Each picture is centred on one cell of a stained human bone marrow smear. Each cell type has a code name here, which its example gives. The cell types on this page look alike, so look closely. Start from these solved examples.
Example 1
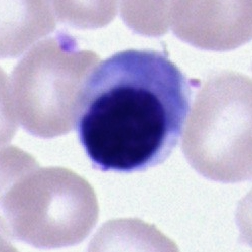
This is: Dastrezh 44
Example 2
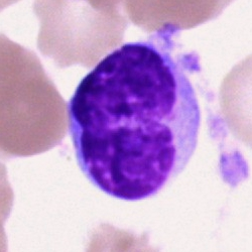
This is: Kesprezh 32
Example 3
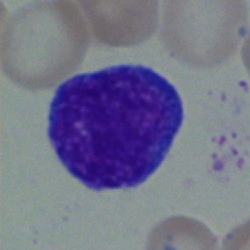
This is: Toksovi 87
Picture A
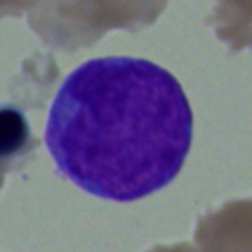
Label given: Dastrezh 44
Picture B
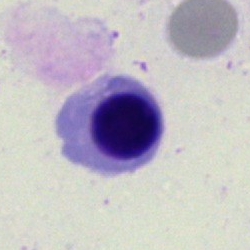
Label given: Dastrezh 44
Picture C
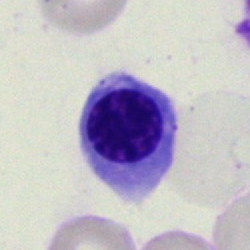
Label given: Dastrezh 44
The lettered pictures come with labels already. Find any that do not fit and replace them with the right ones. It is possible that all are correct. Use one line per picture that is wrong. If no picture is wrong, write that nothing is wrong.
A: not Dastrezh 44 but Toksovi 87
